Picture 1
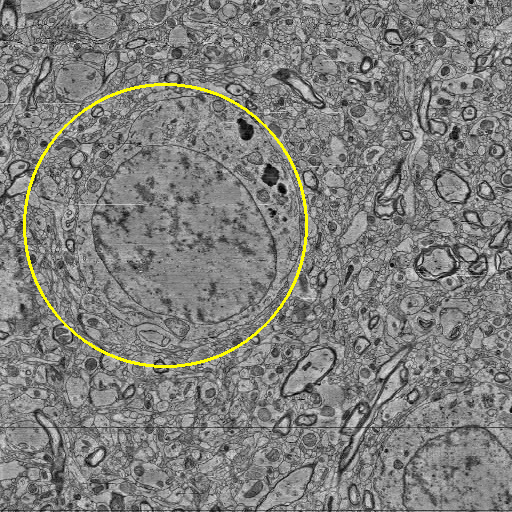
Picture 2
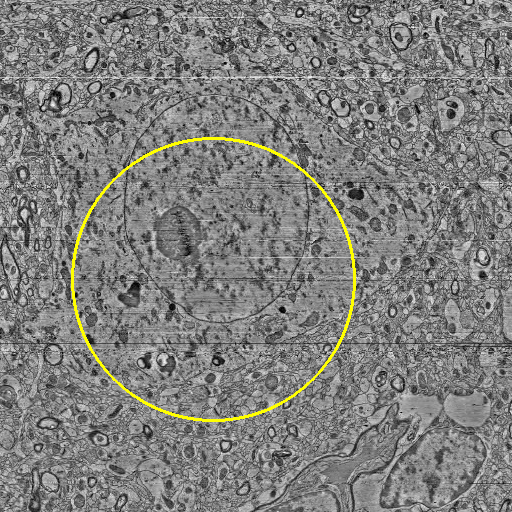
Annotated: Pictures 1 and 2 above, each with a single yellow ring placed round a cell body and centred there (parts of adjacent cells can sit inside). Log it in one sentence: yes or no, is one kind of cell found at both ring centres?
Yes, the ring centres of the two pictures hold cells of one kind.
